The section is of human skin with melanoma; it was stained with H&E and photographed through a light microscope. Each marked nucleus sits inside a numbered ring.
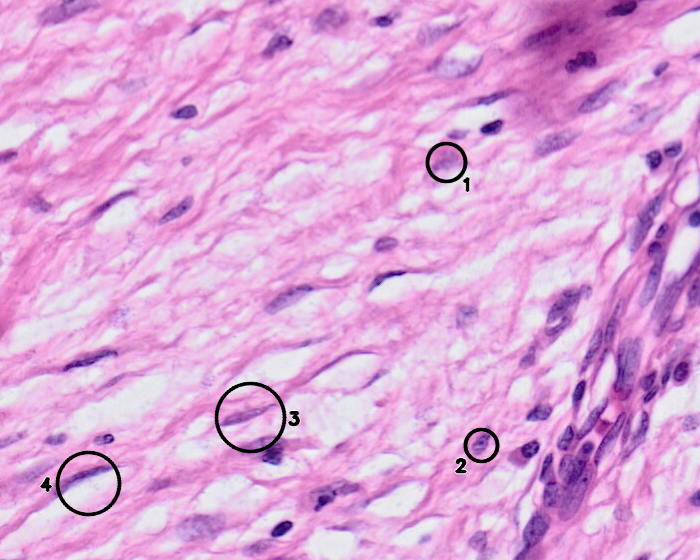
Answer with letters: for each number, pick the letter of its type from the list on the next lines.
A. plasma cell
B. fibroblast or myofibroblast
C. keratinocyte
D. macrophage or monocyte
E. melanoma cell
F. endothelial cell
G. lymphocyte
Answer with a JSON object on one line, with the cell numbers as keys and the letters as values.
{"1": "B", "2": "D", "3": "B", "4": "B"}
